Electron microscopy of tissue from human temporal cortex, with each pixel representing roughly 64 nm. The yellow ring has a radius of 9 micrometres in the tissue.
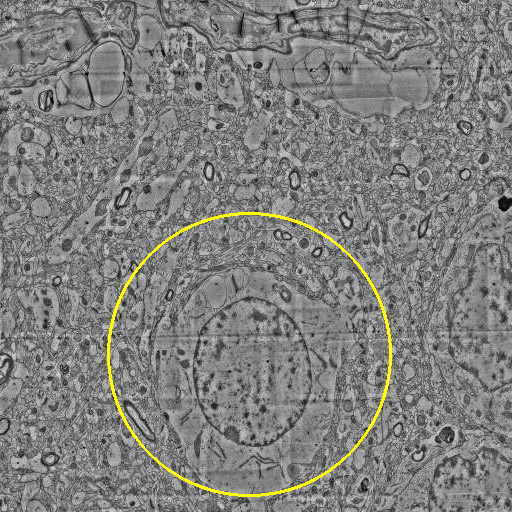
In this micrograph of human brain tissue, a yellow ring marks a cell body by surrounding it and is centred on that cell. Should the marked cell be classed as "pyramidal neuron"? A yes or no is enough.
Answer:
no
